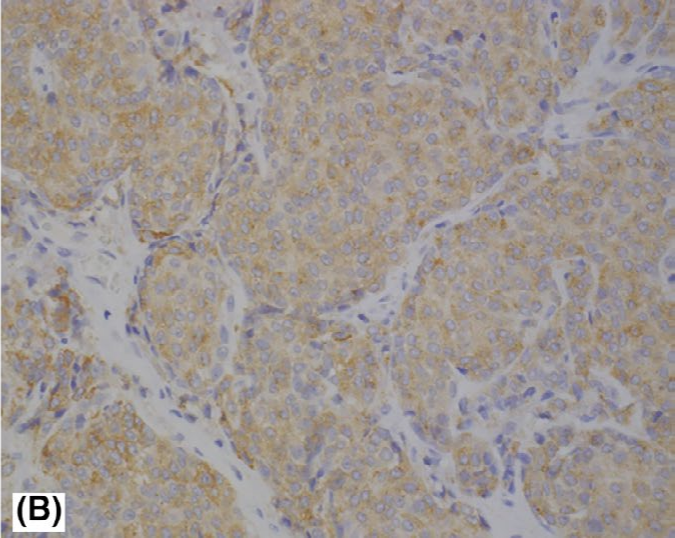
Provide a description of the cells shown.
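Nests and trabeculae of neuroendocrine cells separated by thin bands of pale fibrous stroma. The cells are fairly uniform, with round to oval nuclei and moderate amounts of cytoplasm. The cytoplasm shows weak, patchy, finely granular light-brown staining, stronger in some cells at the edges of nests. Stromal cells between the nests have elongated blue nuclei and are unstained.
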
